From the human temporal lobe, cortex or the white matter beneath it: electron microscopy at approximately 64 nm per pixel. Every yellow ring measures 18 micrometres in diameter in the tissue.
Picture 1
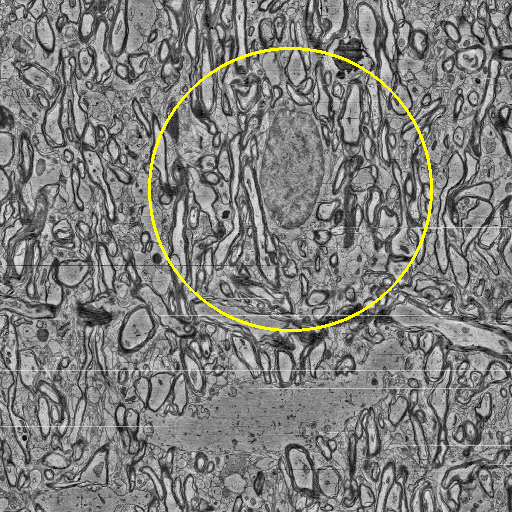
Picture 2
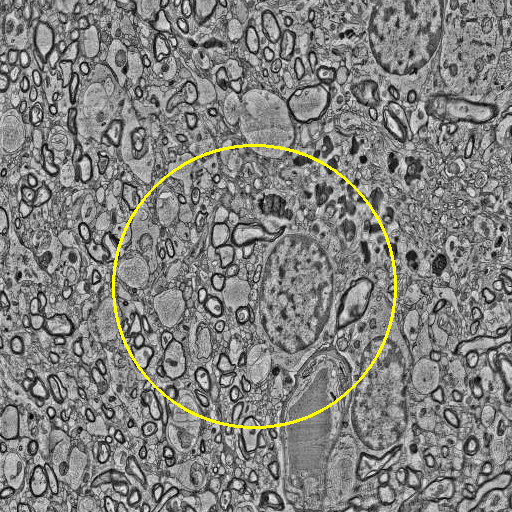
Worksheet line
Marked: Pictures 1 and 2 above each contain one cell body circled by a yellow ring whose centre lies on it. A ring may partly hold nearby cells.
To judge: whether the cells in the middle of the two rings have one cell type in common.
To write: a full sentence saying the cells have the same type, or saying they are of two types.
The cells in the middle of the rings in Picture 1 and Picture 2 have the same type.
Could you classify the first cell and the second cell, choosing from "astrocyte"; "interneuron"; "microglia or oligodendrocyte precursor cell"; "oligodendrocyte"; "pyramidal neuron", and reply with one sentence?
Each cell at the centre of a ring is an oligodendrocyte.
